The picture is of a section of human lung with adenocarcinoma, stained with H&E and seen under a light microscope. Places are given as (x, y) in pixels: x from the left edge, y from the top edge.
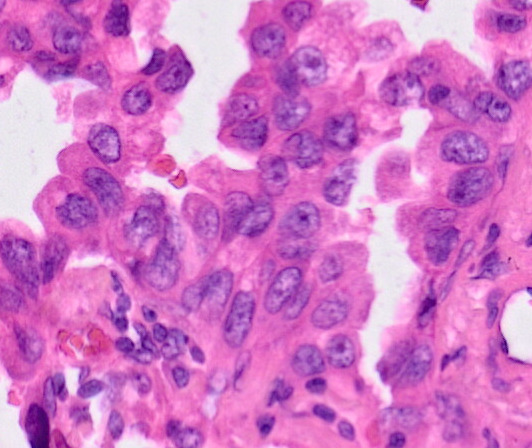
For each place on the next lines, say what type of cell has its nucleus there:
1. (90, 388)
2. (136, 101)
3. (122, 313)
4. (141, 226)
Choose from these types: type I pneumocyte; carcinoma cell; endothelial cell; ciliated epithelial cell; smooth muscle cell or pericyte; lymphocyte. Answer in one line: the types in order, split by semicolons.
lymphocyte; carcinoma cell; lymphocyte; carcinoma cell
